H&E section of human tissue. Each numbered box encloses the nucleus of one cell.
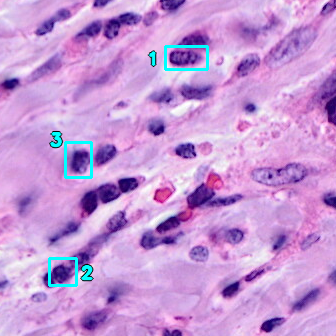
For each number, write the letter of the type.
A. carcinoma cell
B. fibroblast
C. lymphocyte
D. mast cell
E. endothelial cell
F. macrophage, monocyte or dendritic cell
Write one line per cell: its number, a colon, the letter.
1: D
2: C
3: C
